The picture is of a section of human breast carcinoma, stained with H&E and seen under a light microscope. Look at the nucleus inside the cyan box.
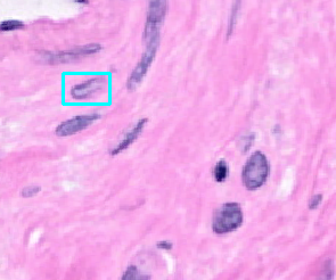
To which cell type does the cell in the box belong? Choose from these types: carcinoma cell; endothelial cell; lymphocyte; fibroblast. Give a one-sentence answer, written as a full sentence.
In the context of this tissue, the cell in the box is an endothelial cell.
